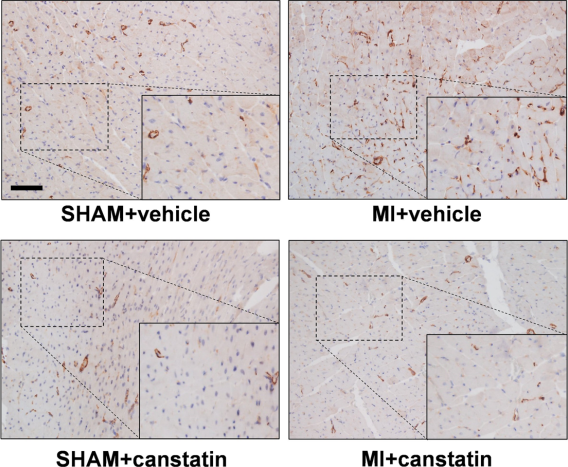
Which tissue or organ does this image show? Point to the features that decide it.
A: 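Hearts. Pale-stained elongated fibres packed side by side with small blue nuclei between them. No gland, lumen-lining epithelium or layered organ wall is present.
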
